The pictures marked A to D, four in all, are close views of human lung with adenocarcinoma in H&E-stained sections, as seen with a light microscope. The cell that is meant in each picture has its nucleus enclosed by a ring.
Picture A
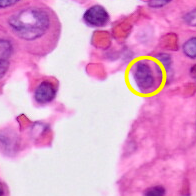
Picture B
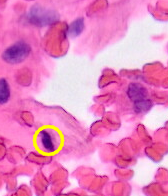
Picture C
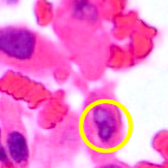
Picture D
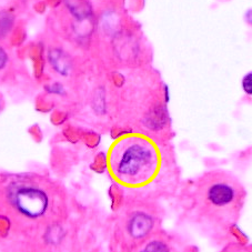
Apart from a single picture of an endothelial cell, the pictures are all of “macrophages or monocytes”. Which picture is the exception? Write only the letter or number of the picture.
B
